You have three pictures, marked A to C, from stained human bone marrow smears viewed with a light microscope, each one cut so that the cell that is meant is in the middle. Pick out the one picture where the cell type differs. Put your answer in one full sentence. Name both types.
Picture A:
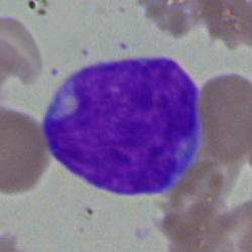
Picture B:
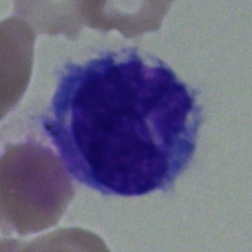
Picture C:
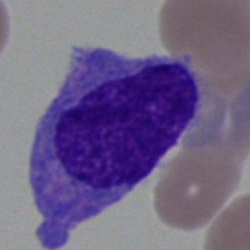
All pictures except B show blasts; picture B shows a monocyte.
